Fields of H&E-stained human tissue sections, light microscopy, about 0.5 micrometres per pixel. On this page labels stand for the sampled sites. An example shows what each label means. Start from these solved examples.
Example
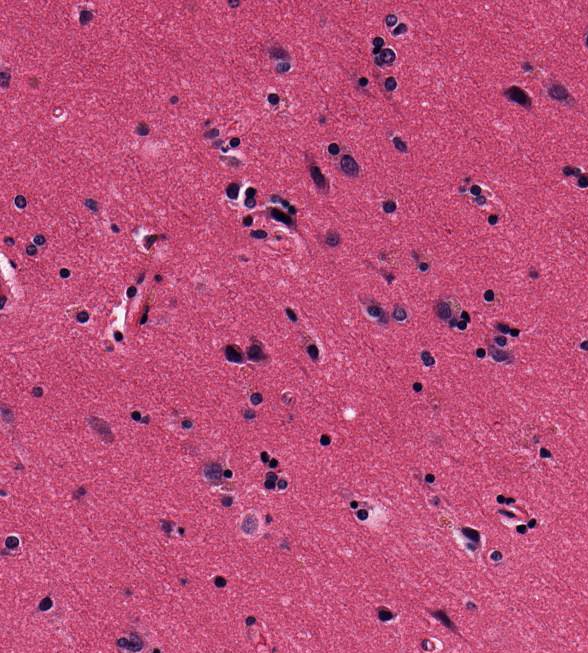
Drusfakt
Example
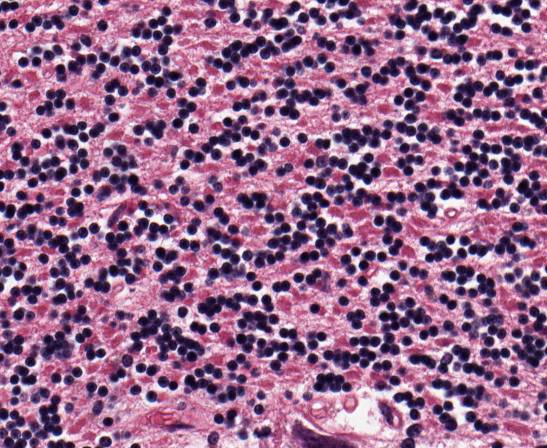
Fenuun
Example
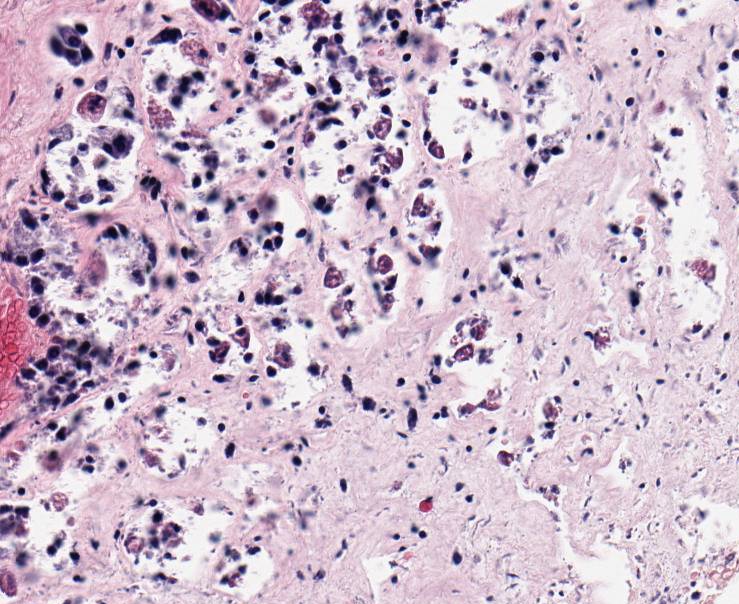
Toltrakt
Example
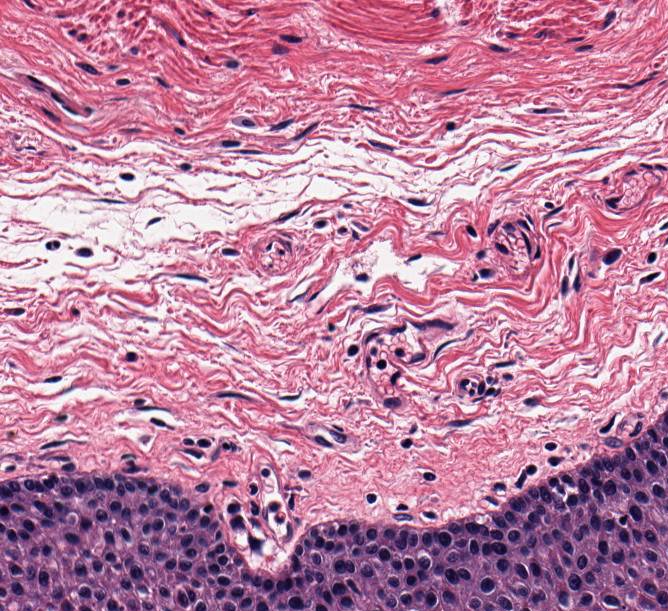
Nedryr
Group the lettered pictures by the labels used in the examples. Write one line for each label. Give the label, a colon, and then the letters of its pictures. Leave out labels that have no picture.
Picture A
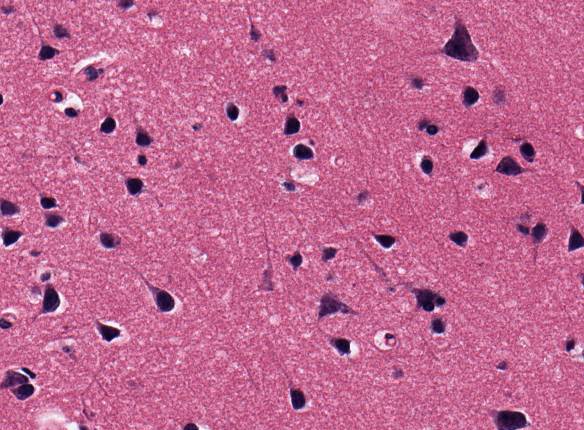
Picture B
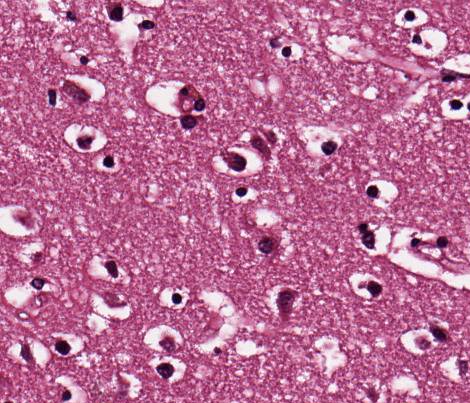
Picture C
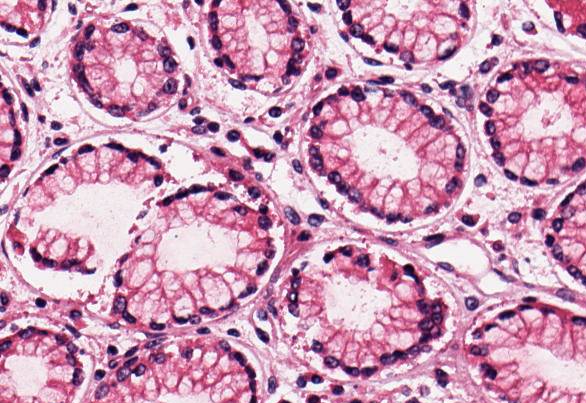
Drusfakt: A, B
Toltrakt: C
